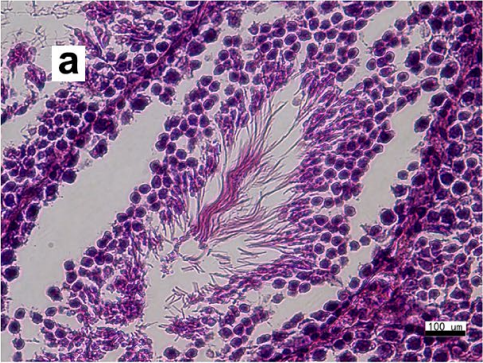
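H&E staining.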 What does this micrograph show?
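This shows seminiferous tubules of the testis cut lengthwise, stained pink and purple. The tubule wall is lined by many layers of germ cells: rounded cells with dark purple, densely stained nuclei fill the epithelium, becoming smaller and more crowded toward the middle. In the centre, a long bundle of pink, thread-like sperm tails streams along the lumen, showing active sperm production. Between the tubules run narrow bands of flattened cells with elongated nuclei.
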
